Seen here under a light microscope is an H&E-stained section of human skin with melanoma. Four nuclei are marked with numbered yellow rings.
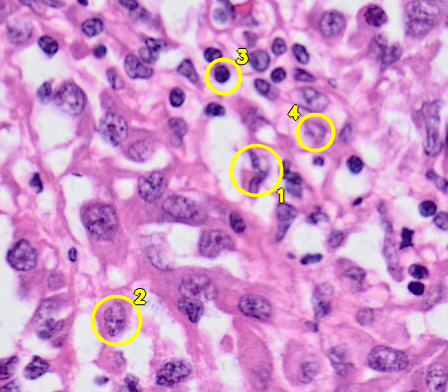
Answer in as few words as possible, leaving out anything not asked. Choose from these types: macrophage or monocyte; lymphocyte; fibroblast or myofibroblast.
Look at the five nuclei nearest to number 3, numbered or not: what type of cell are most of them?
macrophage or monocyte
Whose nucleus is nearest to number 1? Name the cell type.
lymphocyte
